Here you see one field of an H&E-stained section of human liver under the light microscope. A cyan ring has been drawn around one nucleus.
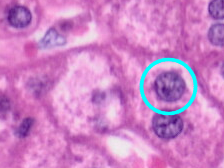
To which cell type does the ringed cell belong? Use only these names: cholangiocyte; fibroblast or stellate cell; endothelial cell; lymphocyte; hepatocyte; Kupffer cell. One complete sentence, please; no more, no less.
In short, the ringed cell on this section is a hepatocyte.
